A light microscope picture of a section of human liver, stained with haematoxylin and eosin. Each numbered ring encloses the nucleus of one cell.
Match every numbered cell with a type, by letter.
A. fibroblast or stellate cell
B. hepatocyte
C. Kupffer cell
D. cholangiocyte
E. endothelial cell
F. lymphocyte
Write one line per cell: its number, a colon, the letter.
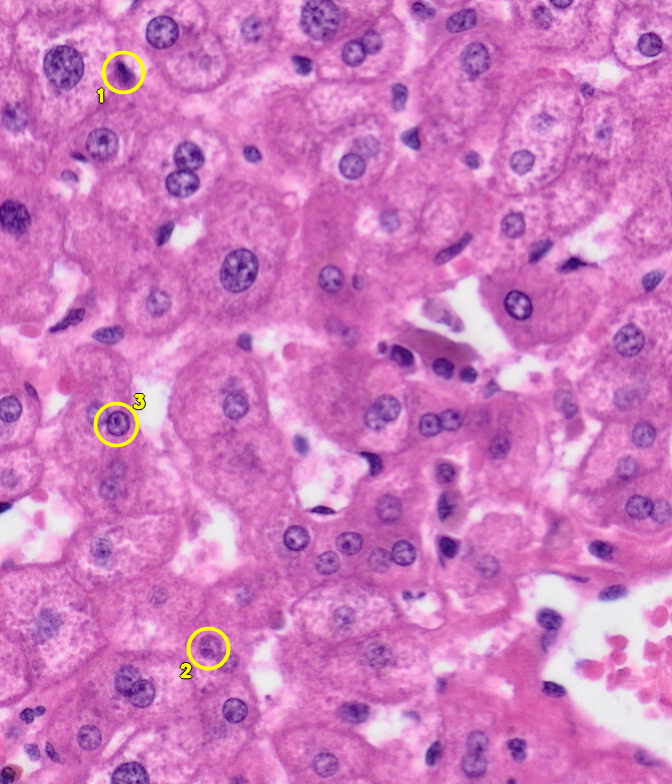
1: E
2: B
3: B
